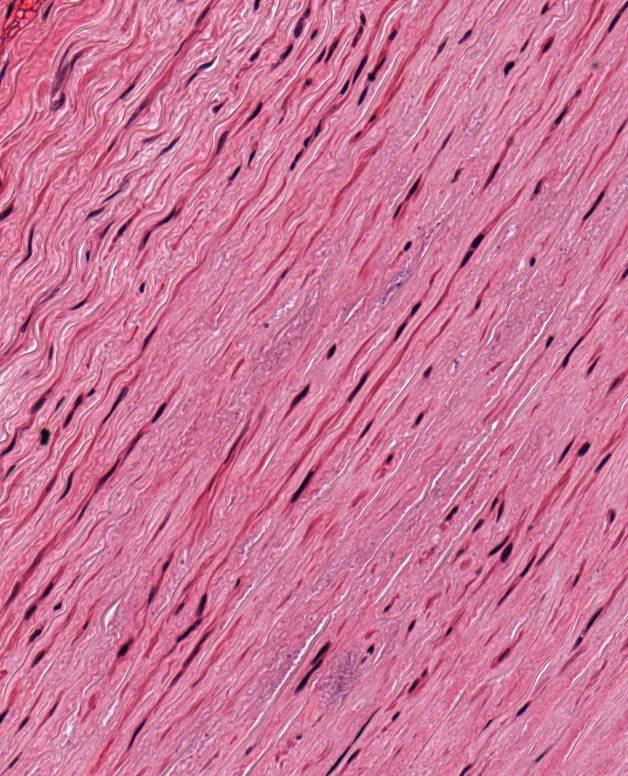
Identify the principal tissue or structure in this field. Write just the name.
tunica media of an artery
